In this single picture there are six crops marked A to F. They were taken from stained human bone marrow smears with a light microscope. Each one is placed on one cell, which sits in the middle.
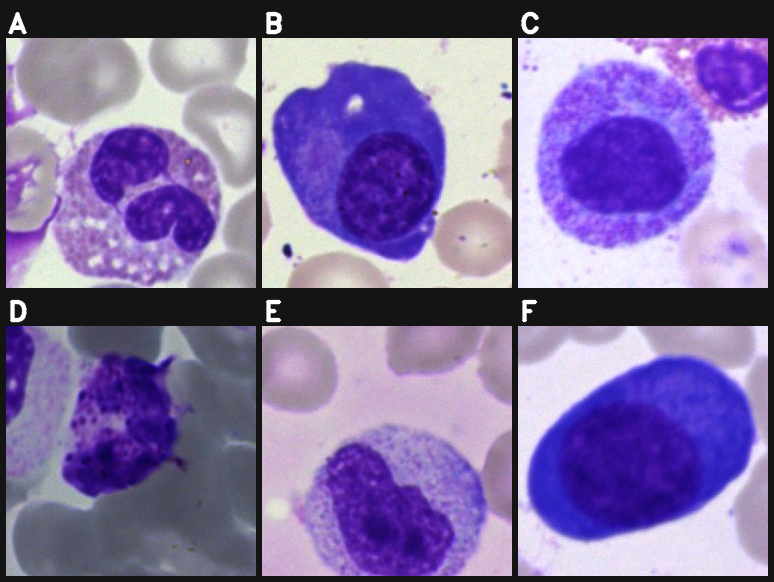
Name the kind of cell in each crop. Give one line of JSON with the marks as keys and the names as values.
{"A": "eosinophil", "B": "plasma cell", "C": "promyelocyte", "D": "basophil", "E": "metamyelocyte", "F": "plasma cell"}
